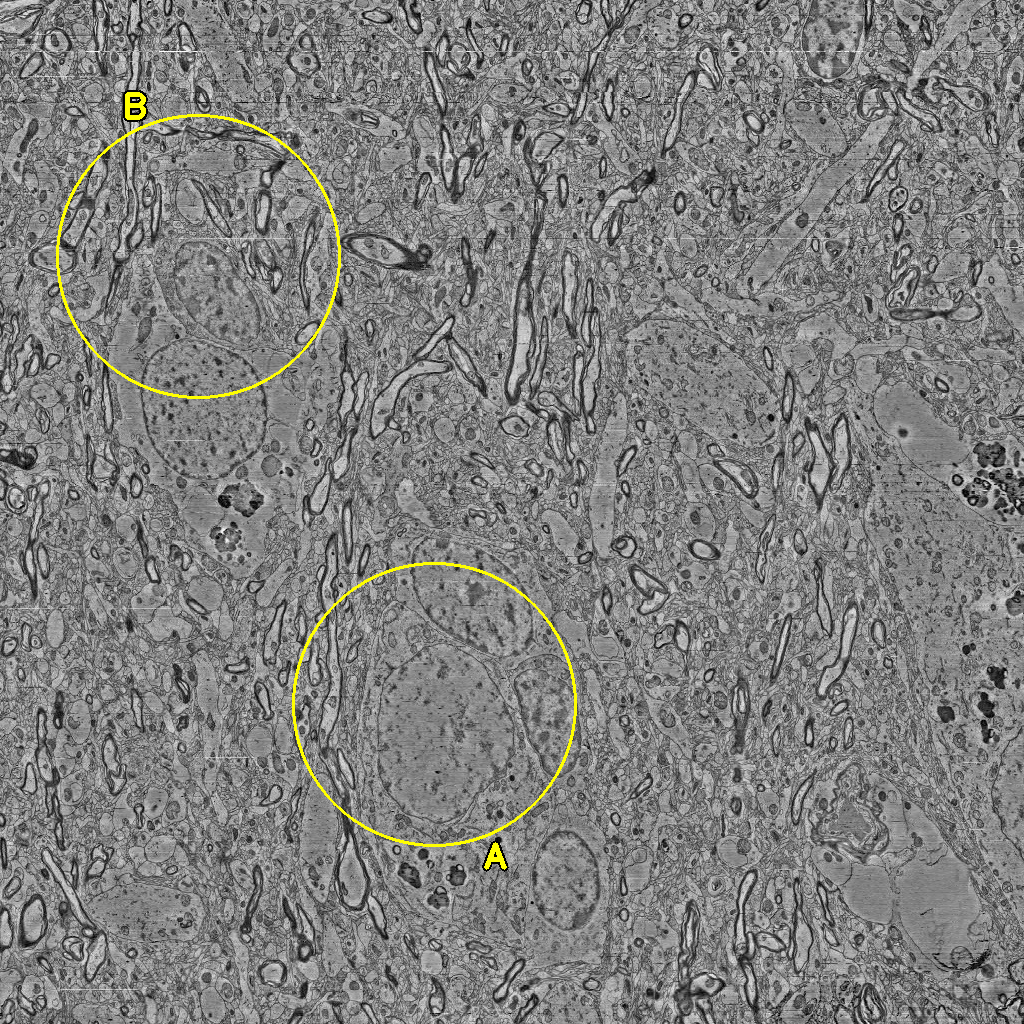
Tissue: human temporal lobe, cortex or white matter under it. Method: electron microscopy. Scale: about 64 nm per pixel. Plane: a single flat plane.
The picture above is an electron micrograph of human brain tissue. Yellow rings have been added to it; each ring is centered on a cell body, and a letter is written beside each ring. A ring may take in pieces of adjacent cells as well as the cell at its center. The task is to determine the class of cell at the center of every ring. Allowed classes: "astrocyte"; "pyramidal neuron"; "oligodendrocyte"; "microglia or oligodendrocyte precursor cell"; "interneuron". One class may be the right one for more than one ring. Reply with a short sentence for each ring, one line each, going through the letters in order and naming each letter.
Ring A is centered on an interneuron.
Ring B is centered on an oligodendrocyte.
